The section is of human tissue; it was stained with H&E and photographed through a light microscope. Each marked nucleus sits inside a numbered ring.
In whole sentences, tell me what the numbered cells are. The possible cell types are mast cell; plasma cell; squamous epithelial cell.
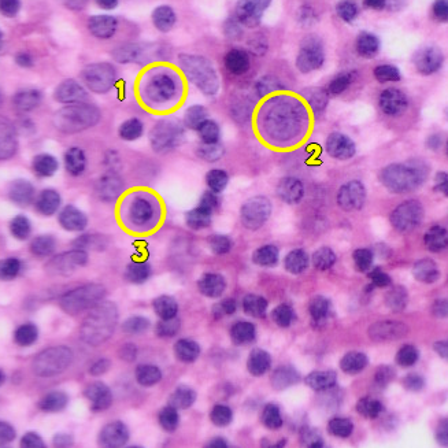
Cells 1 and 3 are plasma cells. Cell 2 is a squamous epithelial cell.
